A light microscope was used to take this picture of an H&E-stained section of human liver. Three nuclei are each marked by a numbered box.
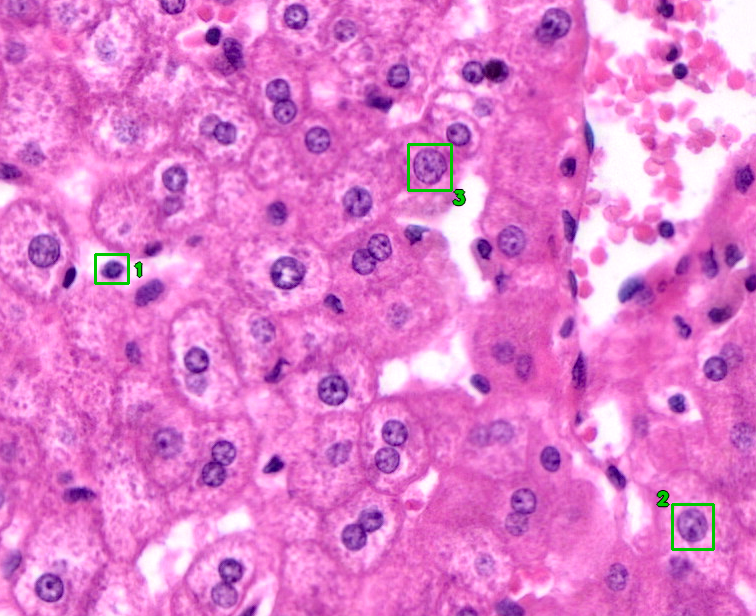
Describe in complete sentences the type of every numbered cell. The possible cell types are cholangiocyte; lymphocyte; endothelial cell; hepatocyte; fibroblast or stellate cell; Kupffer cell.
Cell 1 is a lymphocyte, cell 2 is a hepatocyte and cell 3 is a hepatocyte.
